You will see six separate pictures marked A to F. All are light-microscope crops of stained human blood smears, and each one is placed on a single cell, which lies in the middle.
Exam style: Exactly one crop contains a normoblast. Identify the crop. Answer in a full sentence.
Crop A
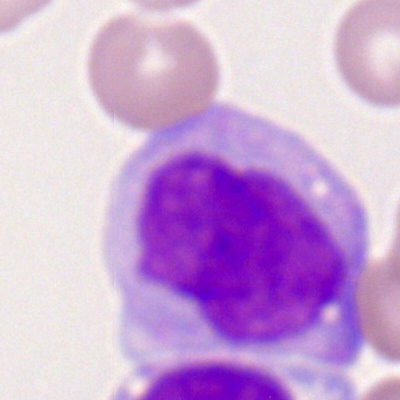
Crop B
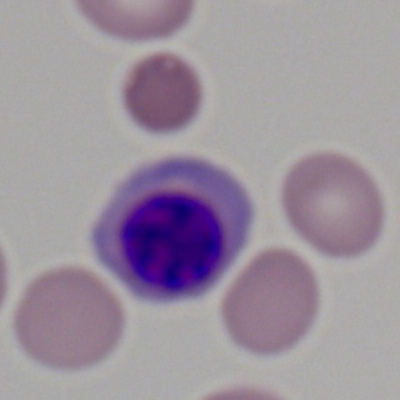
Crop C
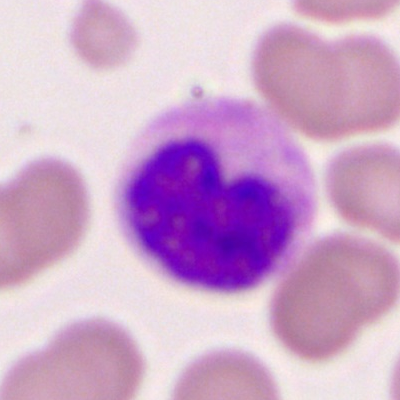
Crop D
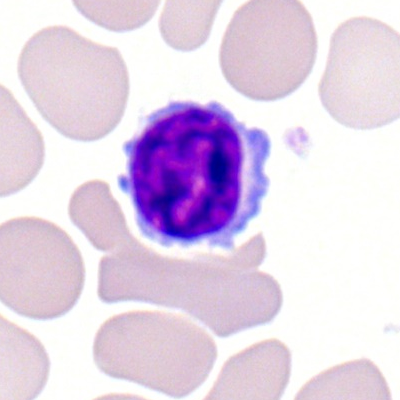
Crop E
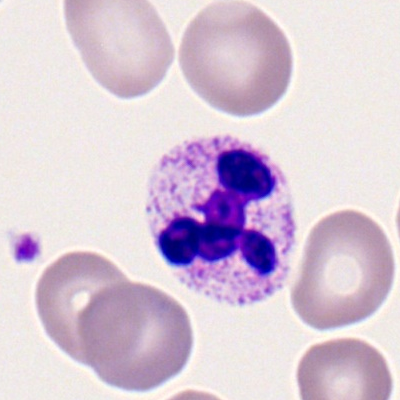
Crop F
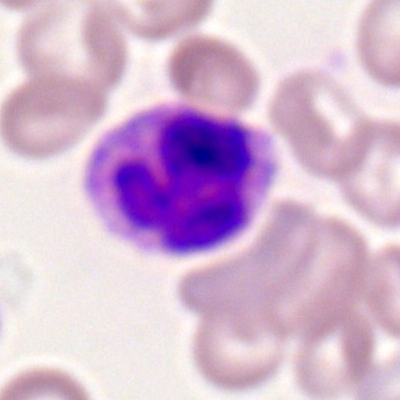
The one crop in the set with a normoblast is crop B.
